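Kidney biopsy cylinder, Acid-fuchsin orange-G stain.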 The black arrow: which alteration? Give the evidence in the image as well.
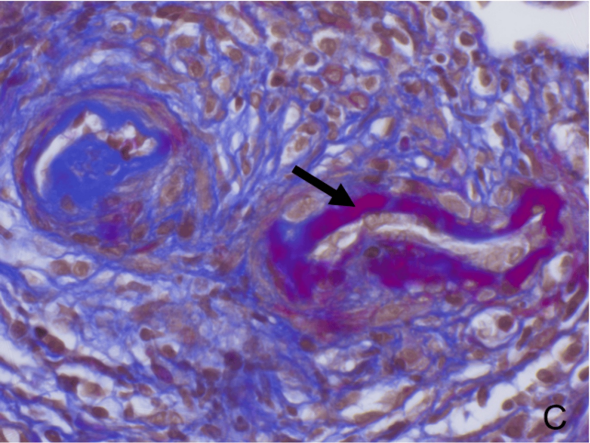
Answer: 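The arrow points to a band of intense magenta-red material along the lumen of a small vessel. The surrounding wall and interstitium stain blue.
Hence: fibrinoid necrosis.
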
